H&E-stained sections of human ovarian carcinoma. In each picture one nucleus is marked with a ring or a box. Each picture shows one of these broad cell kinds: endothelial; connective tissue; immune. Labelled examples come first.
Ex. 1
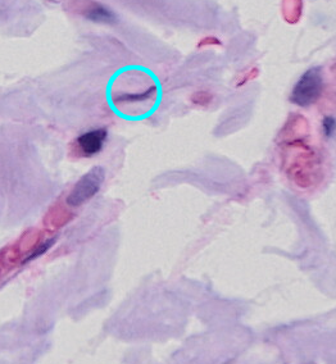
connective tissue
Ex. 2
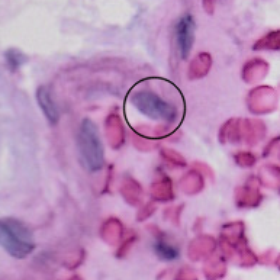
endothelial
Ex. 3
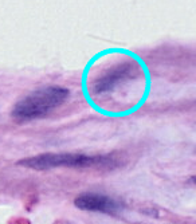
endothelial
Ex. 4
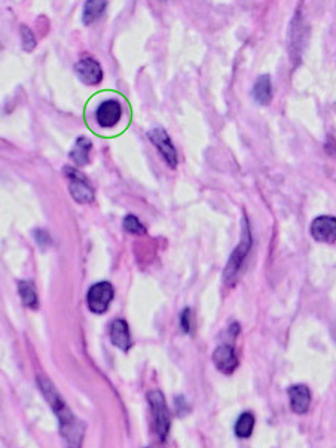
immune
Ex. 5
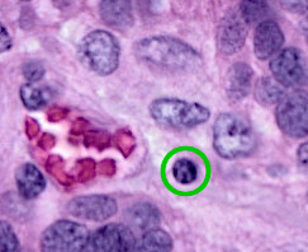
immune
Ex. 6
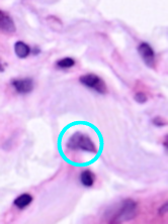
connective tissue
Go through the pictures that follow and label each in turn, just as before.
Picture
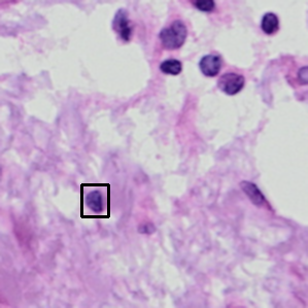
immune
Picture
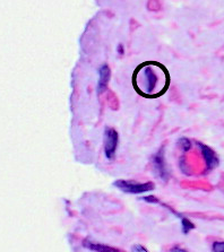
connective tissue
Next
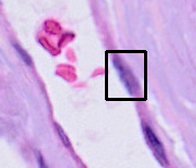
endothelial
